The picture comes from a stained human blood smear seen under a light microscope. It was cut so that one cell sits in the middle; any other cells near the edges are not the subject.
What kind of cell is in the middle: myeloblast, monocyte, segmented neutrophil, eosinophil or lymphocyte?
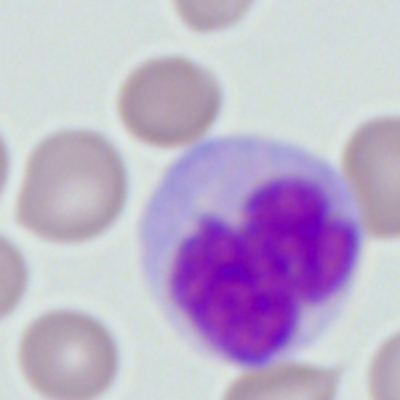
monocyte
